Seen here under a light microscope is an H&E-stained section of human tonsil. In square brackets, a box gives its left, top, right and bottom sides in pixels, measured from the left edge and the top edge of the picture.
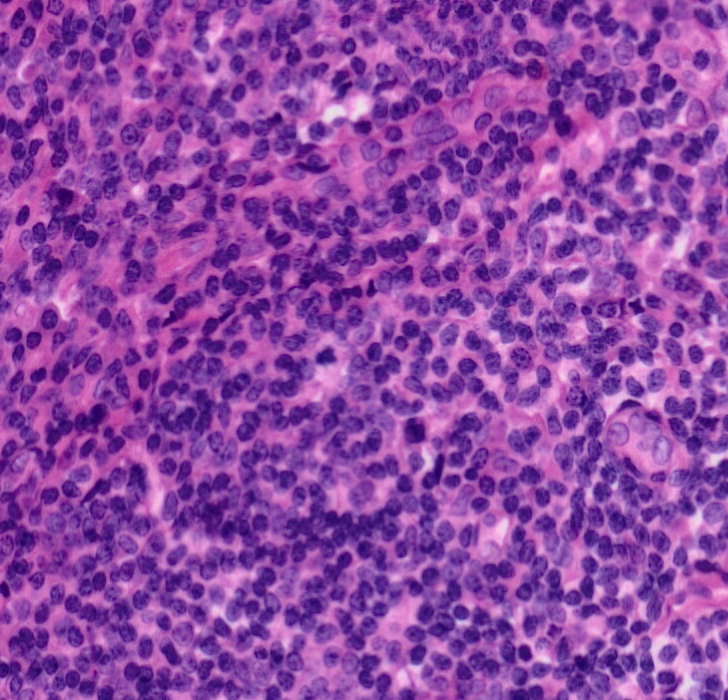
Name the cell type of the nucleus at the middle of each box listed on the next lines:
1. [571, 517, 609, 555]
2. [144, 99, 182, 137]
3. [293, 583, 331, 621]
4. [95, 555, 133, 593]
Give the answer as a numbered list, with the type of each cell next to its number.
1. small lymphocyte
2. plasma cell
3. small lymphocyte
4. small lymphocyte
